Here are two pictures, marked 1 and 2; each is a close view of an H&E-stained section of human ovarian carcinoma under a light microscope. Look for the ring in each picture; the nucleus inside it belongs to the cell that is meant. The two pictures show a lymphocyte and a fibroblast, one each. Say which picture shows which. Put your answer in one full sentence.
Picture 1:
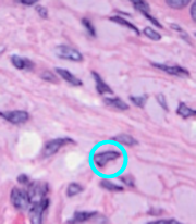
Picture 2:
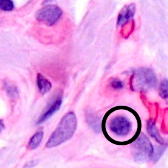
The cell in picture 1 is a fibroblast, and the one in picture 2 is a lymphocyte.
